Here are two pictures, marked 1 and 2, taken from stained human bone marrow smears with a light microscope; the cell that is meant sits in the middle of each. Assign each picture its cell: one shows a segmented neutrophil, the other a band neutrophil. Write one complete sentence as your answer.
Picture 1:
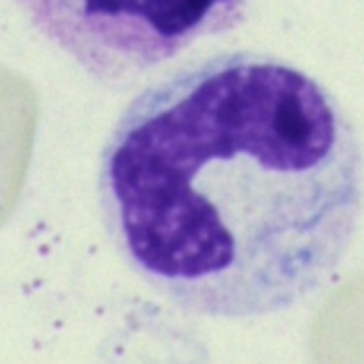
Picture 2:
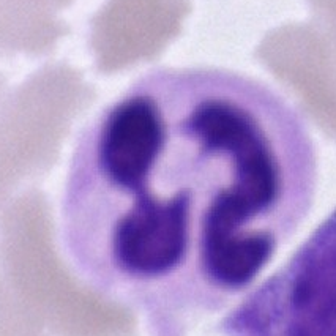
Picture 2 shows a segmented neutrophil, while picture 1 shows a band neutrophil.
